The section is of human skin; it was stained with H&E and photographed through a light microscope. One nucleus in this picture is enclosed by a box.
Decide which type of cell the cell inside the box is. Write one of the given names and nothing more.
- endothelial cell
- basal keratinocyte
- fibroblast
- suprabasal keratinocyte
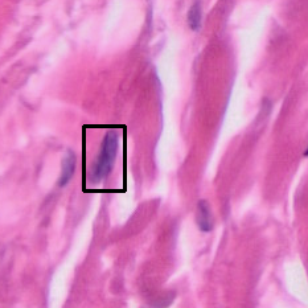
fibroblast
